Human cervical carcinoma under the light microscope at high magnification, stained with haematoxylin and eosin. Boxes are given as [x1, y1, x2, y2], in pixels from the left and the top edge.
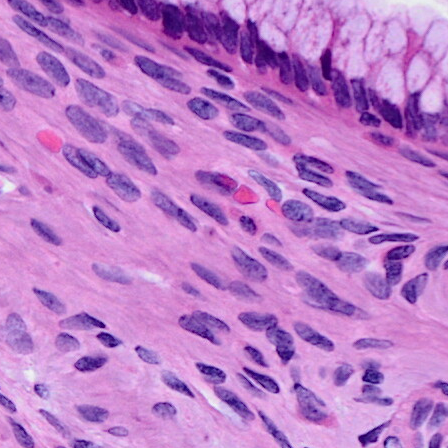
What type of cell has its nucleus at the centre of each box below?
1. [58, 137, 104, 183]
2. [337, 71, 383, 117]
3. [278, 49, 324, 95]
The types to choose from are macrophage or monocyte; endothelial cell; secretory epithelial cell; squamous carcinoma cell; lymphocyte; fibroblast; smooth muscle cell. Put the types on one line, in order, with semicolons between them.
endothelial cell; secretory epithelial cell; secretory epithelial cell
